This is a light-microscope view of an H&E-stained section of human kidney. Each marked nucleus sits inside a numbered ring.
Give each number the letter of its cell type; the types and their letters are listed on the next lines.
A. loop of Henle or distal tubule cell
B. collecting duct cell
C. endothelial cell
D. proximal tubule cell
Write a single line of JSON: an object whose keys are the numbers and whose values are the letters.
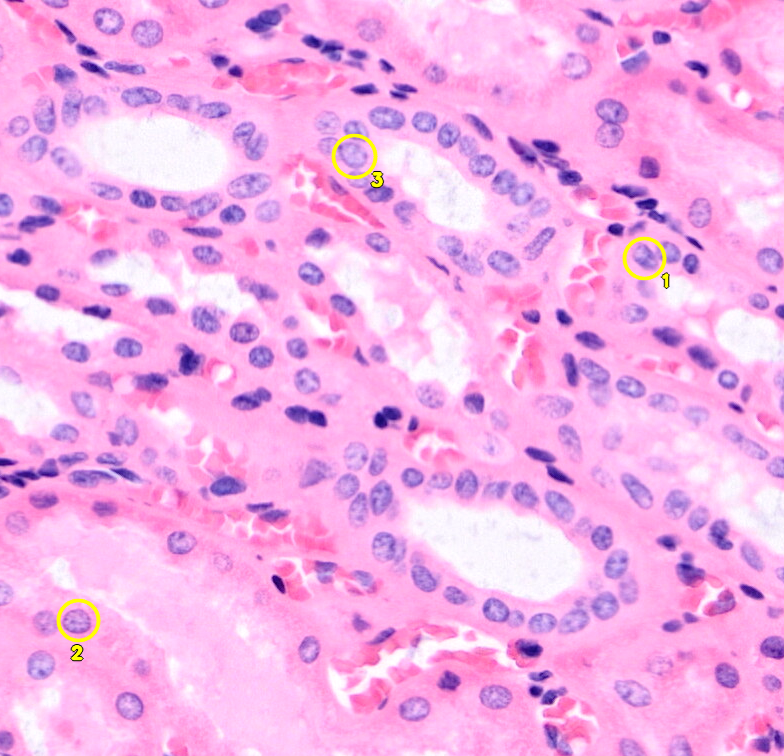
{"1": "B", "2": "D", "3": "B"}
